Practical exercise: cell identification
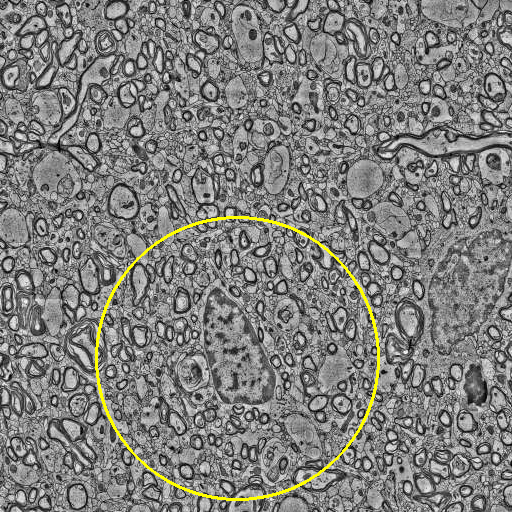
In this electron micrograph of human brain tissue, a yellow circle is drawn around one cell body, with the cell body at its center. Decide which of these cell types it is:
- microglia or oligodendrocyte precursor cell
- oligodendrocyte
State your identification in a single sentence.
The ringed cell is a microglial cell or oligodendrocyte precursor cell.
